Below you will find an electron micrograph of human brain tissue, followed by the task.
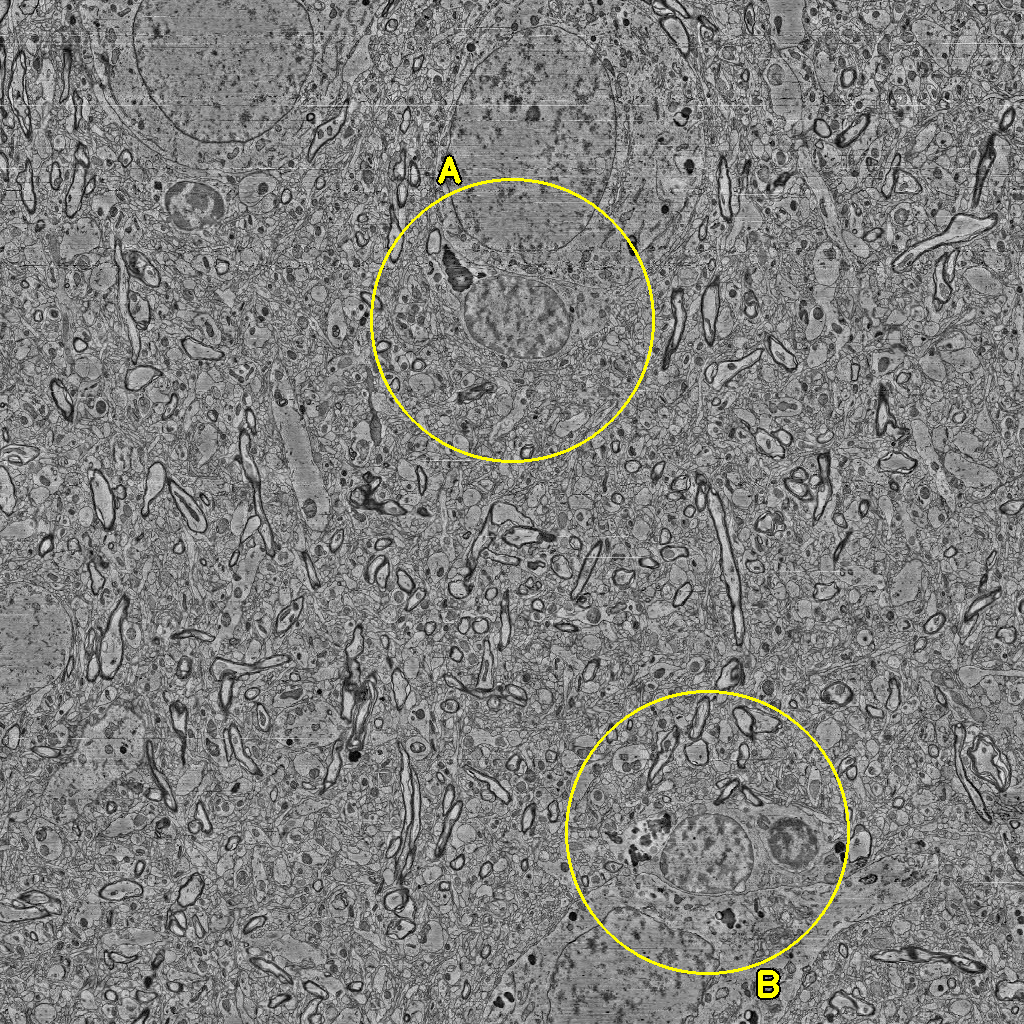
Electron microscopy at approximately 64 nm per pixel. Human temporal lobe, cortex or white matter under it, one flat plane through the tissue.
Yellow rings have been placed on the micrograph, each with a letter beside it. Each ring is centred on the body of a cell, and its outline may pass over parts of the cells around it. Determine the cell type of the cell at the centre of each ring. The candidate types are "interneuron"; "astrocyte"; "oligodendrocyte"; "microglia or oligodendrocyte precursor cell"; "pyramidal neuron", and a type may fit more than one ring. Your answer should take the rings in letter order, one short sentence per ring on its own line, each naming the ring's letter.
The centre of ring A falls on an oligodendrocyte.
The centre of ring B falls on an oligodendrocyte.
